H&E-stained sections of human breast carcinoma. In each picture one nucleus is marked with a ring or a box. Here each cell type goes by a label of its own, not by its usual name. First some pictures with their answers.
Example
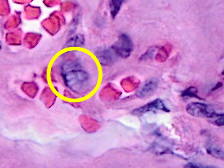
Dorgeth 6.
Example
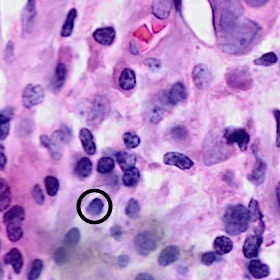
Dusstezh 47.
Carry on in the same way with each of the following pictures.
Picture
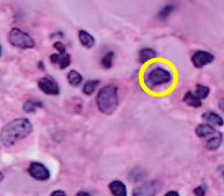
Dusstezh 47.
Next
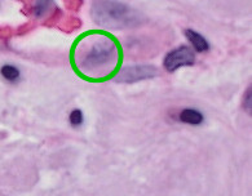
Dorgeth 6.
